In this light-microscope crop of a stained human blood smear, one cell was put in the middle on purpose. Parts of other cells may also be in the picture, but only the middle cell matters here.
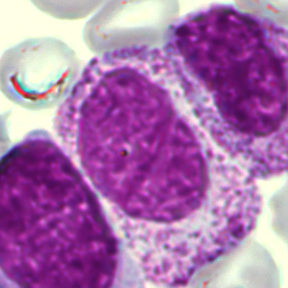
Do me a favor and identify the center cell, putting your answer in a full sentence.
The center cell of this crop is a myelocyte.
